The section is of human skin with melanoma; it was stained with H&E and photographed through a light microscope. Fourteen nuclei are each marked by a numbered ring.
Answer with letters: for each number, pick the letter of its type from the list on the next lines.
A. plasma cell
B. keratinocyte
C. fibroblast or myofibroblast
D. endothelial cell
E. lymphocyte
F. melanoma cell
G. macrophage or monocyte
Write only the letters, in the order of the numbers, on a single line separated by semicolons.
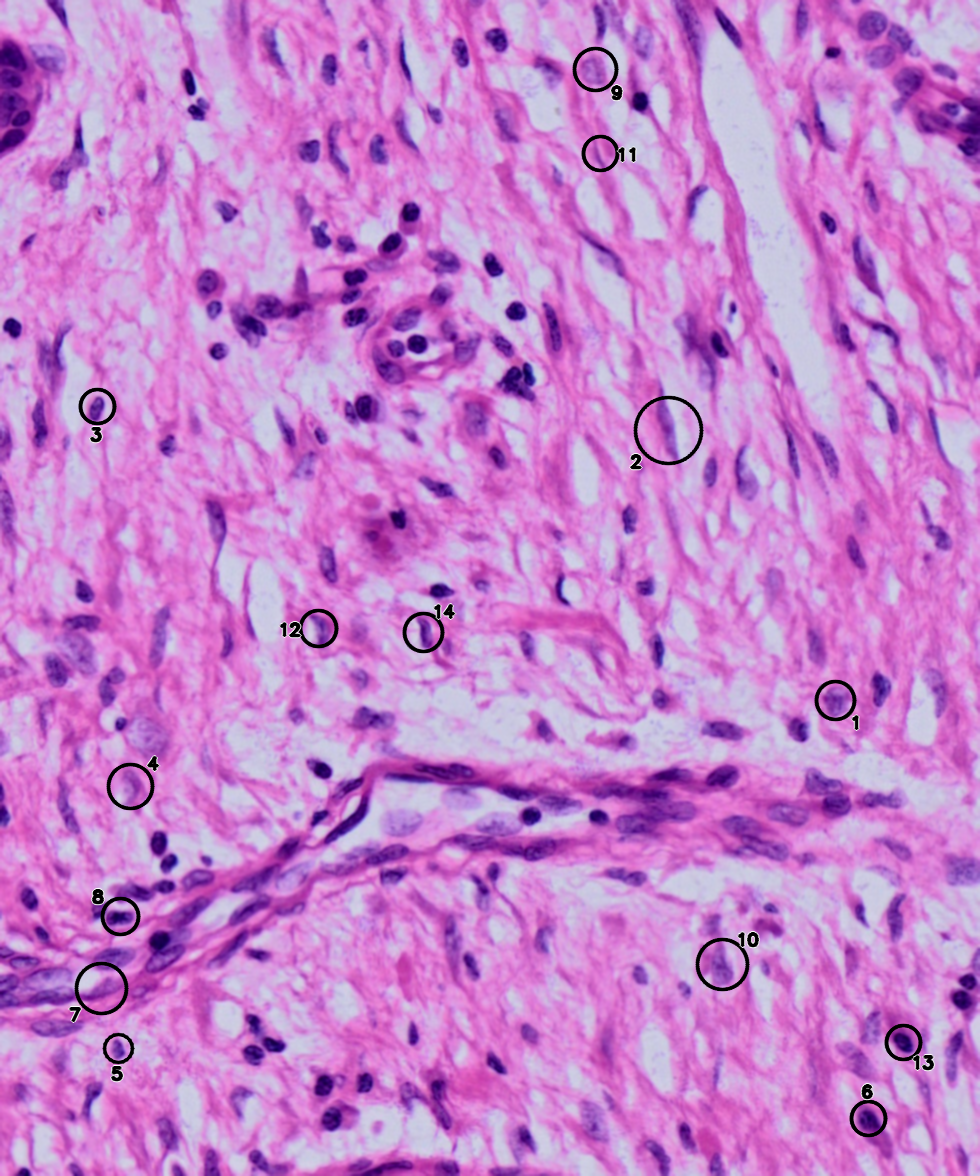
C; C; E; C; E; A; D; E; C; C; C; C; A; C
